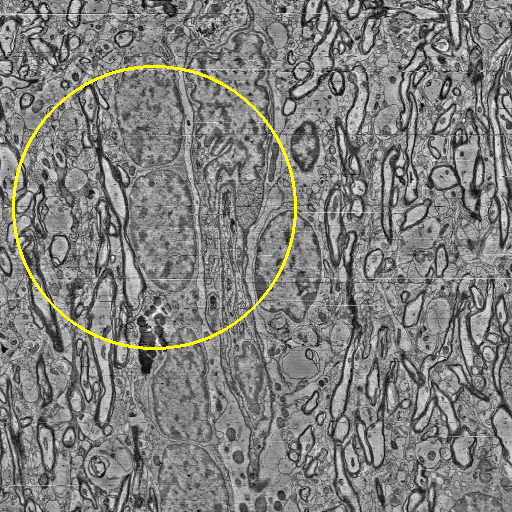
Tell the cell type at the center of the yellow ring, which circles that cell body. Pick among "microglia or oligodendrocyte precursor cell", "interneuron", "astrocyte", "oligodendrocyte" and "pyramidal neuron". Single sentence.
The ring is centered on the body of an oligodendrocyte.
